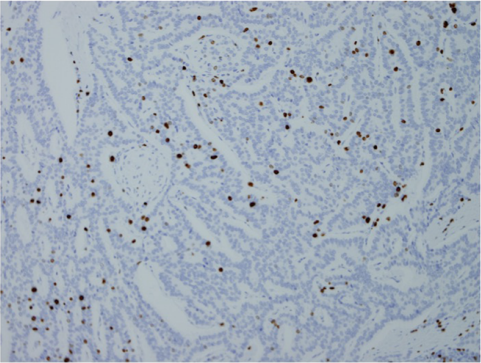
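The same crowded cells arranged in ribbons and tubules around slit-like spaces are counterstained pale blue. Scattered among them are many individual nuclei stained dark brown, distributed throughout the field rather than in one zone.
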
